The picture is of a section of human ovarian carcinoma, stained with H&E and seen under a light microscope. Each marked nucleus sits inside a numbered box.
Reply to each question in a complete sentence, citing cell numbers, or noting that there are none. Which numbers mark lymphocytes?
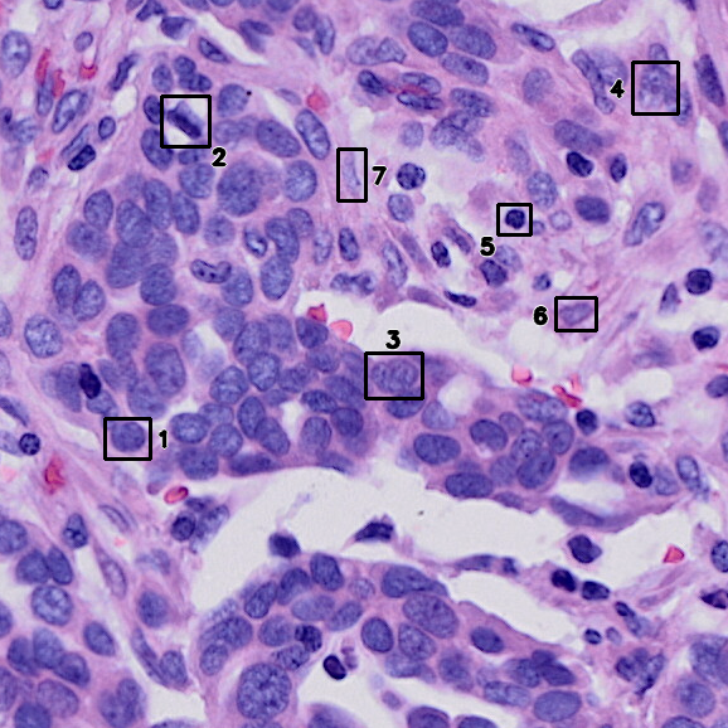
In contrast to the remaining marked cells, cell 5 is a lymphocyte.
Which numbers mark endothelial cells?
Across all the numbered cells, endothelial cells are absent.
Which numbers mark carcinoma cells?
Cells numbered 1, 2 and 3 belong to the group of carcinoma cells.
